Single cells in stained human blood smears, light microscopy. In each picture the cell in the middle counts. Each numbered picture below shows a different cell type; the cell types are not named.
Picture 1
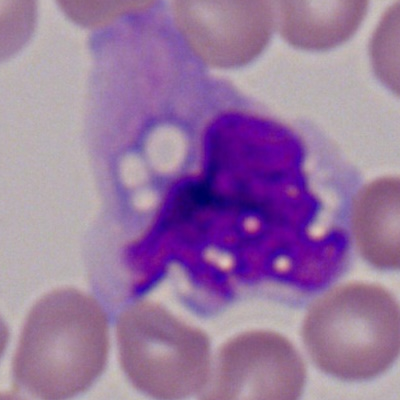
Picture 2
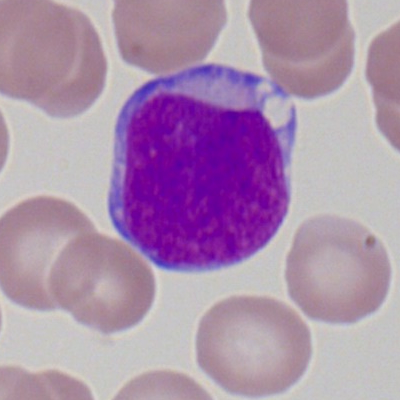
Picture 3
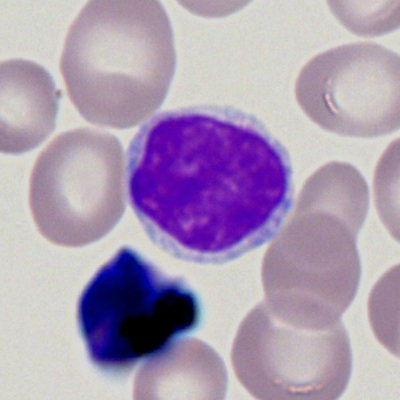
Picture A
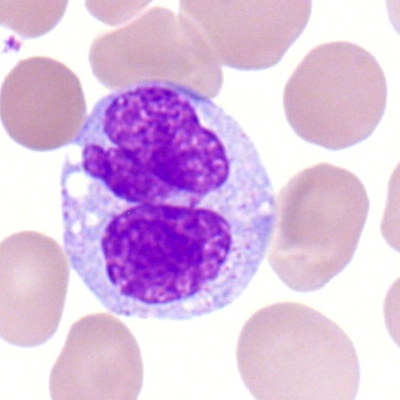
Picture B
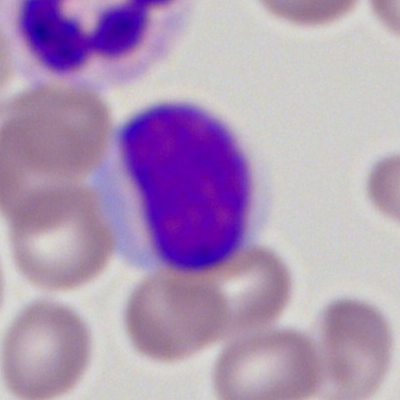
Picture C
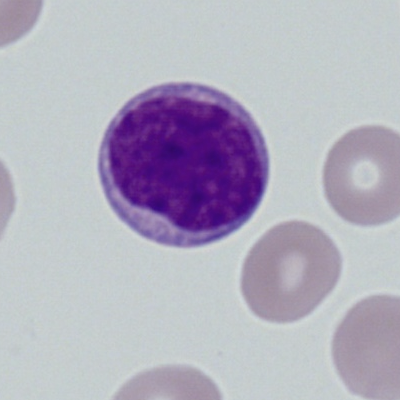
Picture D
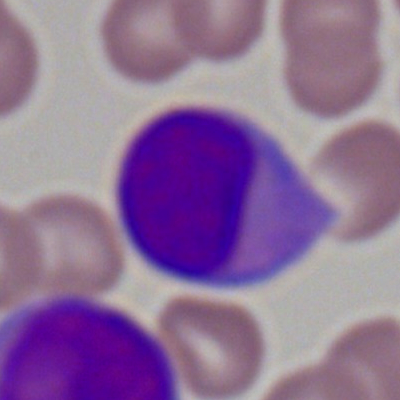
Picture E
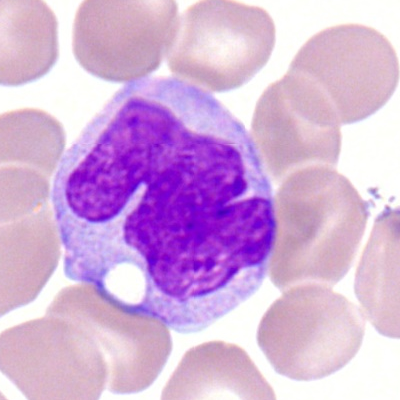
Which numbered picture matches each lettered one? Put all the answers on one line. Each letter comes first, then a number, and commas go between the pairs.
A 1, B 3, C 3, D 2, E 1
